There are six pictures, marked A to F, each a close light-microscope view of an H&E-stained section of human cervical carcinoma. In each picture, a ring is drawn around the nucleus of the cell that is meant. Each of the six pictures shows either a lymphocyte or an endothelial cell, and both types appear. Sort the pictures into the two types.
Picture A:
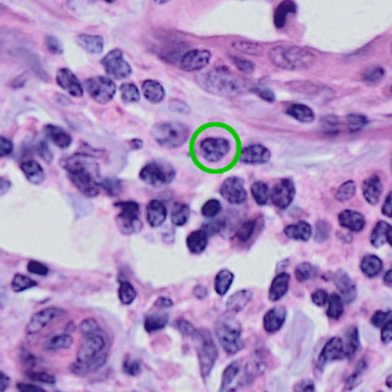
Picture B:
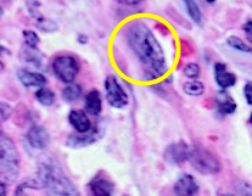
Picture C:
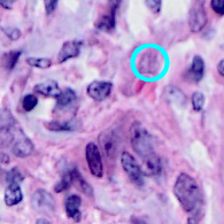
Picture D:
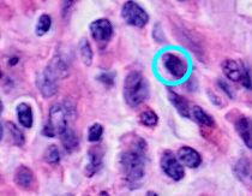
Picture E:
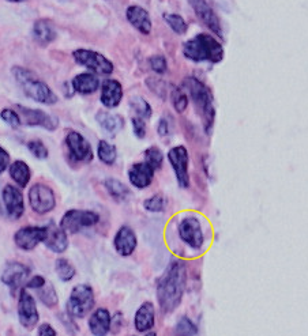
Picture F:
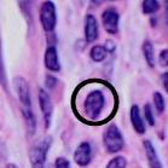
A: lymphocyte
B: endothelial cell
C: endothelial cell
D: lymphocyte
E: lymphocyte
F: lymphocyte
